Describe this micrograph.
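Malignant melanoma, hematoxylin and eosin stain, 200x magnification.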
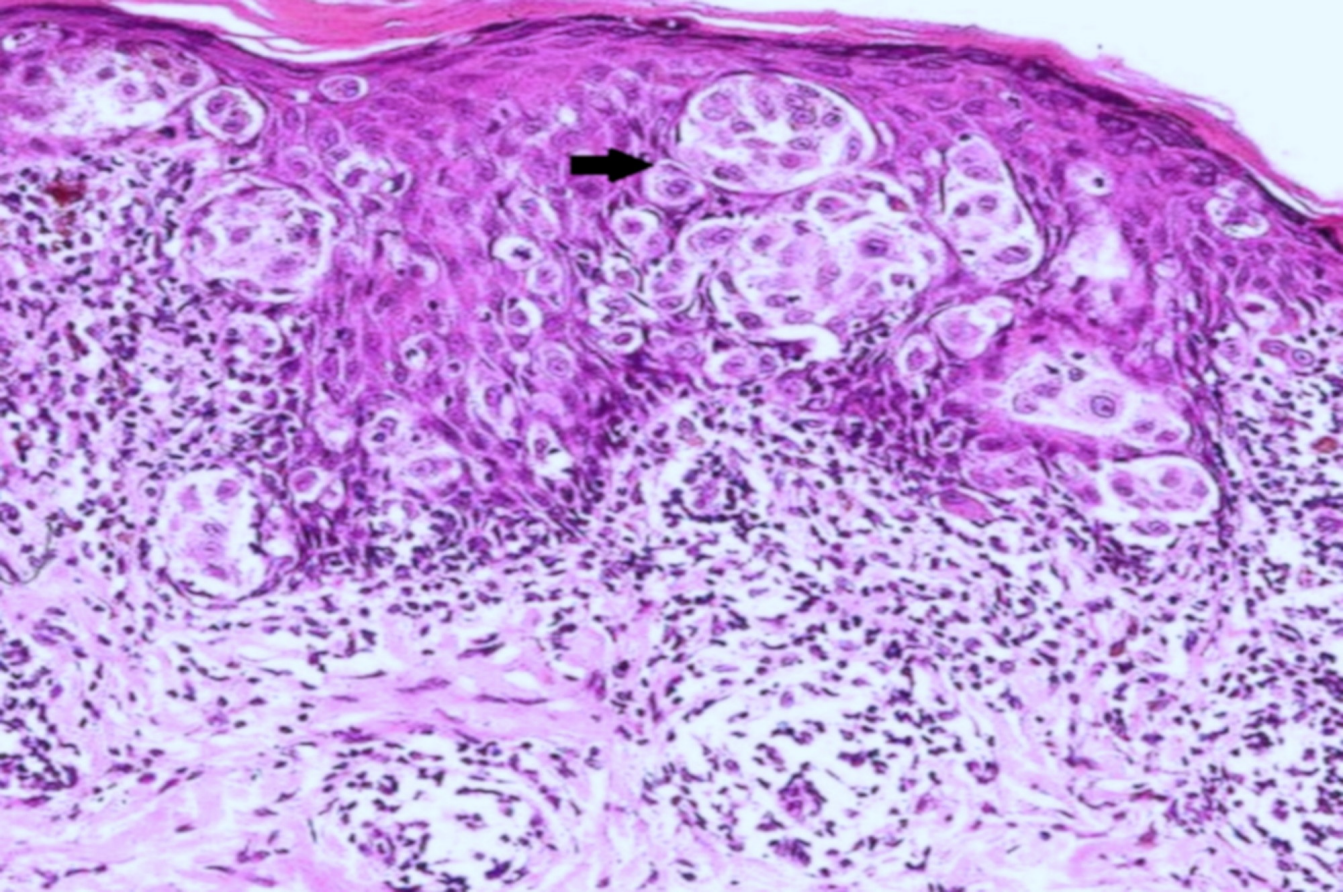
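This section of skin shows nests of atypical melanocytes throughout a thickened epidermis and extending into the papillary dermis. The nests are rounded clusters of large cells with abundant pale pink cytoplasm and enlarged oval nuclei, some with prominent nucleoli, and they are separated from the surrounding pink keratinocytes by clear clefts. The nests vary in size and lie at many levels of the epidermis, not only along its base, beneath a thin pink surface keratin layer. The upper dermis below is crowded with small dark nuclei of a dense cellular infiltrate, which thins out into paler pink connective tissue deeper down.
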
